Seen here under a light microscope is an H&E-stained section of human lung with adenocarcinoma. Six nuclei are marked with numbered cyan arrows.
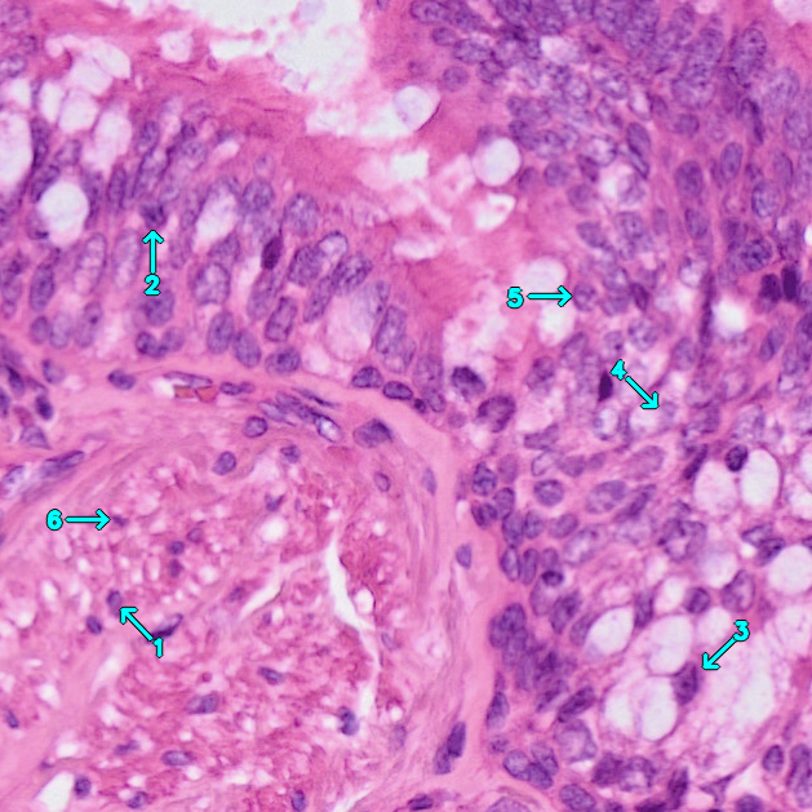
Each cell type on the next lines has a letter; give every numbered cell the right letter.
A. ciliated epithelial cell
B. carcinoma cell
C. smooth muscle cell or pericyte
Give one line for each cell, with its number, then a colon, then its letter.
1: C
2: A
3: A
4: A
5: A
6: C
